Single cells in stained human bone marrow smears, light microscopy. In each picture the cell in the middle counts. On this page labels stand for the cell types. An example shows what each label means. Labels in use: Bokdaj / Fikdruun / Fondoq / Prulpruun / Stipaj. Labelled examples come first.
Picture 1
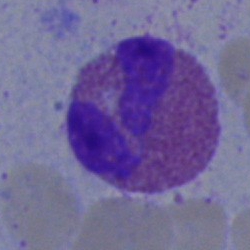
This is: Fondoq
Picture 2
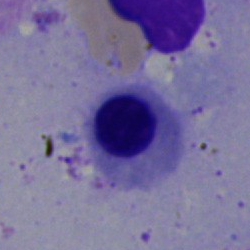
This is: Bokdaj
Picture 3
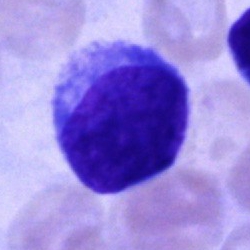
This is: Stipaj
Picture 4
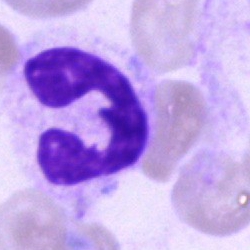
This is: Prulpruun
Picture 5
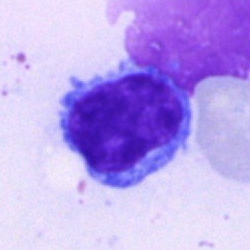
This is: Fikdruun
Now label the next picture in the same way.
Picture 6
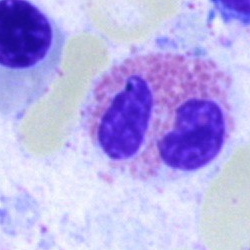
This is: Fondoq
